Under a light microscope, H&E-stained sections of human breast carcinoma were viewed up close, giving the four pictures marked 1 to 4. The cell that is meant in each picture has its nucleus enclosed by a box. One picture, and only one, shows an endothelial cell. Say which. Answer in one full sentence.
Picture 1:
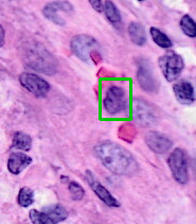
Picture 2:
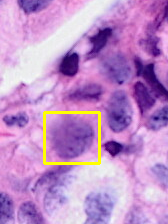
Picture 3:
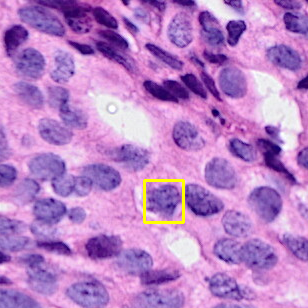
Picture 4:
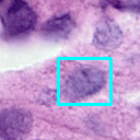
The picture with the endothelial cell is 1.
